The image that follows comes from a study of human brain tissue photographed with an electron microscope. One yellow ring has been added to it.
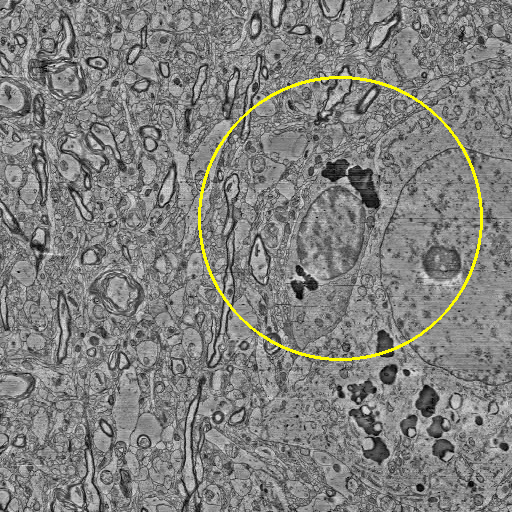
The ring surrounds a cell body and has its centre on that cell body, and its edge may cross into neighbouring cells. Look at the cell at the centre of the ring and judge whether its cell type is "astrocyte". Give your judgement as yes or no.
no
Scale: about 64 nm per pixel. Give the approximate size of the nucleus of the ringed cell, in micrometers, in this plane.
In this plane the nucleus is clearly longer than it is wide, at approximately 6 by 4 micrometres.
